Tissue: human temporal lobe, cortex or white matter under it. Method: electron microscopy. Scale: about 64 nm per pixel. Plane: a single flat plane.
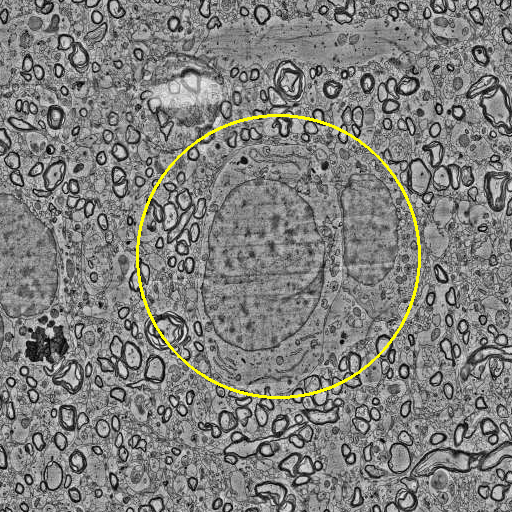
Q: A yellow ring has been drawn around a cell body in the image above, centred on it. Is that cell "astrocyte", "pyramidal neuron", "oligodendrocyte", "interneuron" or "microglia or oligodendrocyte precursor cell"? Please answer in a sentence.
The ring surrounds the cell body of an interneuron.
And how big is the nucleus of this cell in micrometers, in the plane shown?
Roughly 11 by 8 micrometres in this plane, for the nucleus of the ringed cell.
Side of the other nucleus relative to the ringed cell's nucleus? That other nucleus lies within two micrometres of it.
The other nucleus sits to the right of it.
